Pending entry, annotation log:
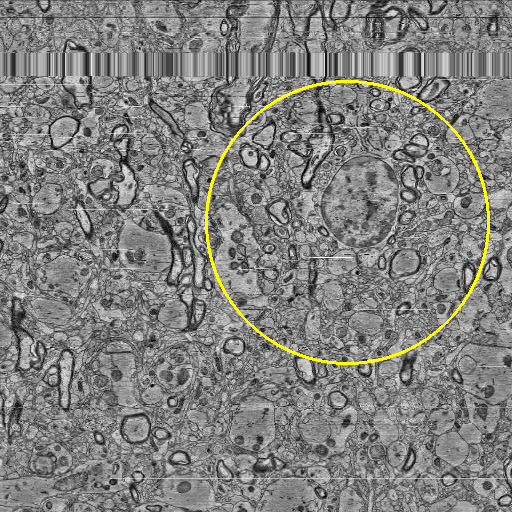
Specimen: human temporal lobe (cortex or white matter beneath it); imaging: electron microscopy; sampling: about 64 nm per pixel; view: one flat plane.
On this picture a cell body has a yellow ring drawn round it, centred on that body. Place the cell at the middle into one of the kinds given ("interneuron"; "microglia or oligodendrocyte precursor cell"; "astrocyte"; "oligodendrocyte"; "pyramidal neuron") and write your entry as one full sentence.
The cell body at the middle of the yellow ring belongs to a microglial cell or oligodendrocyte precursor cell.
